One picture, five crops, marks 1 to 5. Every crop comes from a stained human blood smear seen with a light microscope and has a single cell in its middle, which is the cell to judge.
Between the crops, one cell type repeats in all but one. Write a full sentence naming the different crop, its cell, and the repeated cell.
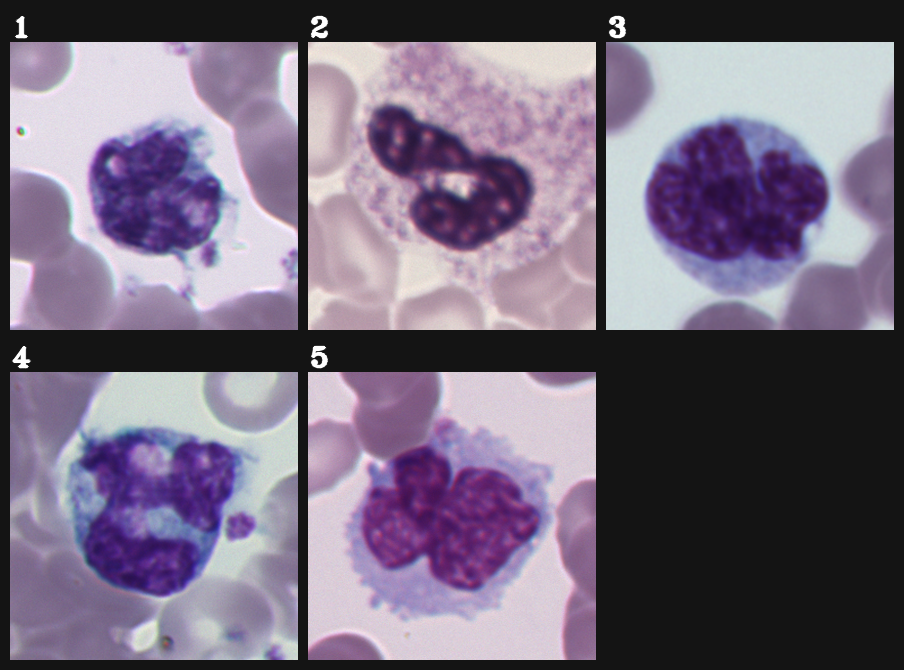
Crop 2 presents a neutrophil, while monocytes are presented by all other crops.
